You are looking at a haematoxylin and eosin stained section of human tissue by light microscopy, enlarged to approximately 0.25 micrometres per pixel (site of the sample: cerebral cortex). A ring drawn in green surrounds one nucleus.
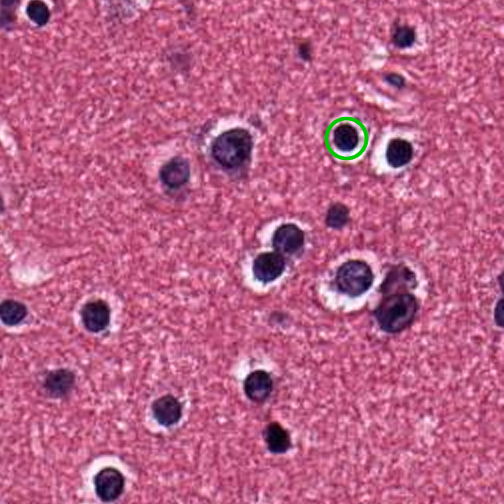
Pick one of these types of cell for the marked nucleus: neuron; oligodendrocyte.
oligodendrocyte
